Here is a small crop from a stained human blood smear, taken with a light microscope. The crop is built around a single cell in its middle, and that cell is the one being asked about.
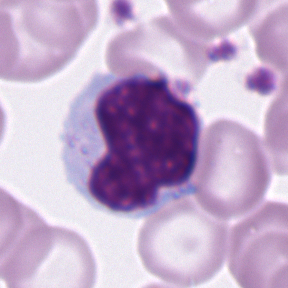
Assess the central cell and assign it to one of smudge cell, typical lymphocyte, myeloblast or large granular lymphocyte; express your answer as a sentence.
The central element of this crop is a cell, namely a typical lymphocyte.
